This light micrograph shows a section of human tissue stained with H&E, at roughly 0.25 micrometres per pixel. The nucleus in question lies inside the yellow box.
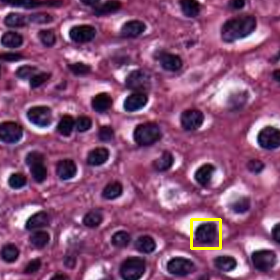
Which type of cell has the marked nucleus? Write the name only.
squamous epithelial cell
